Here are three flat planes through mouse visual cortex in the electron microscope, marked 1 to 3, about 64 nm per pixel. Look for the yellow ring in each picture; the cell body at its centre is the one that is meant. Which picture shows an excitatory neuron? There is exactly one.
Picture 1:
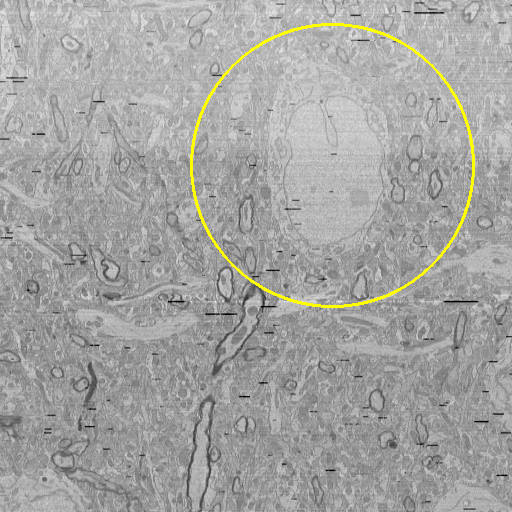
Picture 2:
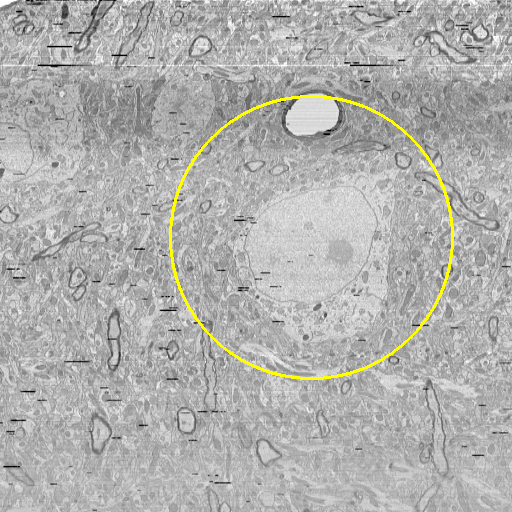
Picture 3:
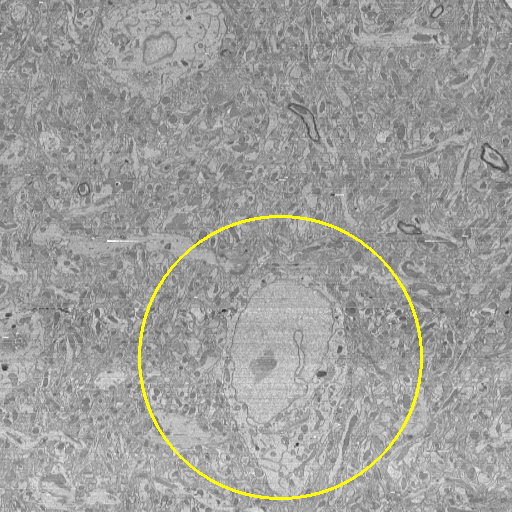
The cell in picture 2 is the excitatory neuron.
